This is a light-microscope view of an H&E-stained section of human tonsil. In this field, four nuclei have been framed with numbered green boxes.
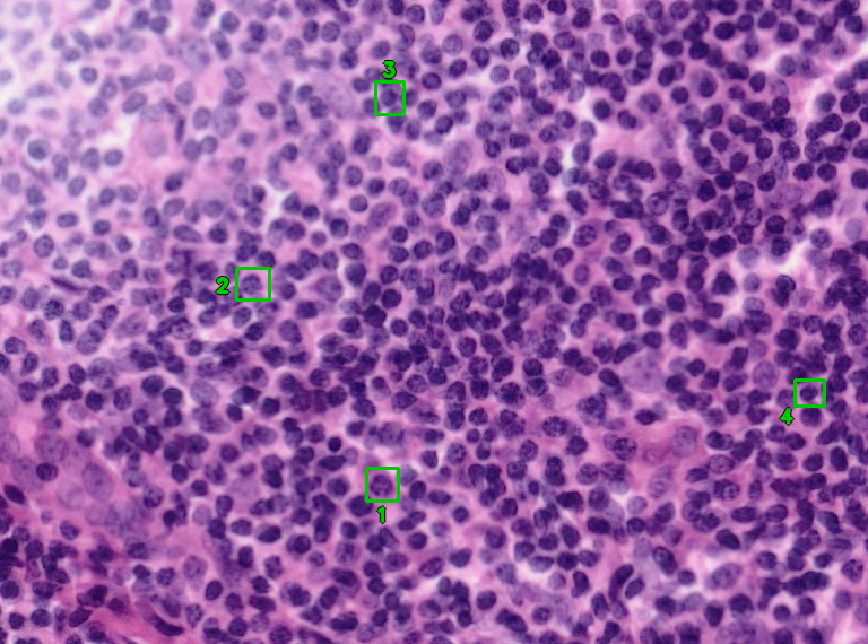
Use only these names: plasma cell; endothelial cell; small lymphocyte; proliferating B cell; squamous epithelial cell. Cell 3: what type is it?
small lymphocyte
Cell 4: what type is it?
small lymphocyte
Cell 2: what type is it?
small lymphocyte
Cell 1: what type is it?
plasma cell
